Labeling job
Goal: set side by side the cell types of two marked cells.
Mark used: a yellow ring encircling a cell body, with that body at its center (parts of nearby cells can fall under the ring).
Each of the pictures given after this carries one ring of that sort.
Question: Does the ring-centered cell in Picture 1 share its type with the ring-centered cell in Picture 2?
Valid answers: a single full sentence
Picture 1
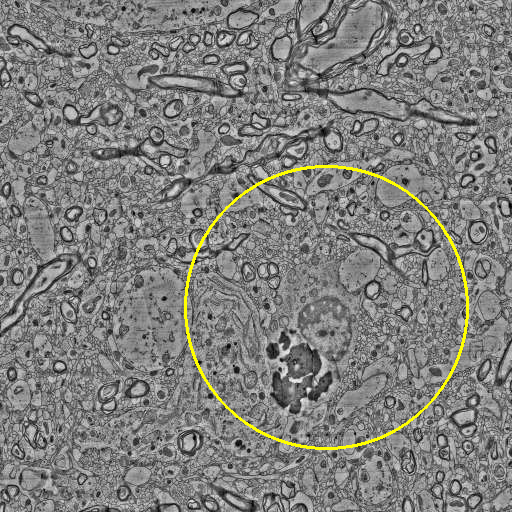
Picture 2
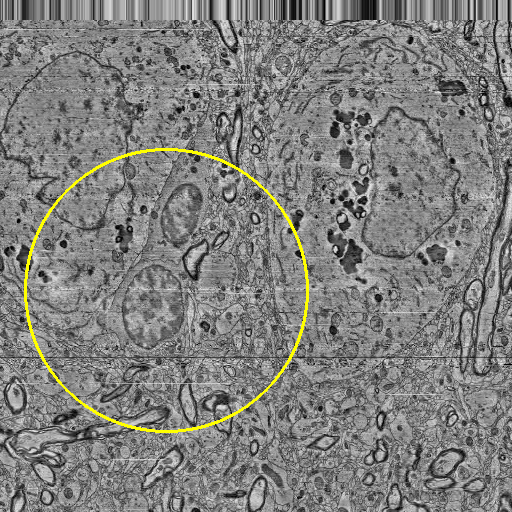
Yes, in Pictures 1 and 2 the cells at the ring centers share one type.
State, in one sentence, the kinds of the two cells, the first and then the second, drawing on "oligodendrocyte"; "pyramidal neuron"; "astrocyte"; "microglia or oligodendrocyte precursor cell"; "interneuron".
Each of the two pictures has an oligodendrocyte at the ring centre.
